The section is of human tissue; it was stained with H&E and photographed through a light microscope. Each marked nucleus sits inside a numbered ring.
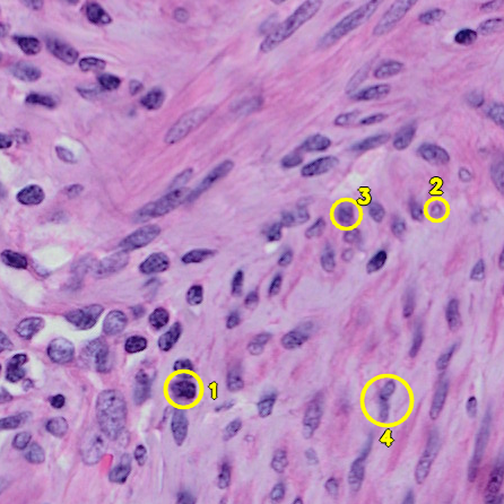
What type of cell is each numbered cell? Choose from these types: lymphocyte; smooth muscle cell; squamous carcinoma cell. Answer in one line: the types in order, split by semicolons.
lymphocyte; smooth muscle cell; smooth muscle cell; smooth muscle cell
